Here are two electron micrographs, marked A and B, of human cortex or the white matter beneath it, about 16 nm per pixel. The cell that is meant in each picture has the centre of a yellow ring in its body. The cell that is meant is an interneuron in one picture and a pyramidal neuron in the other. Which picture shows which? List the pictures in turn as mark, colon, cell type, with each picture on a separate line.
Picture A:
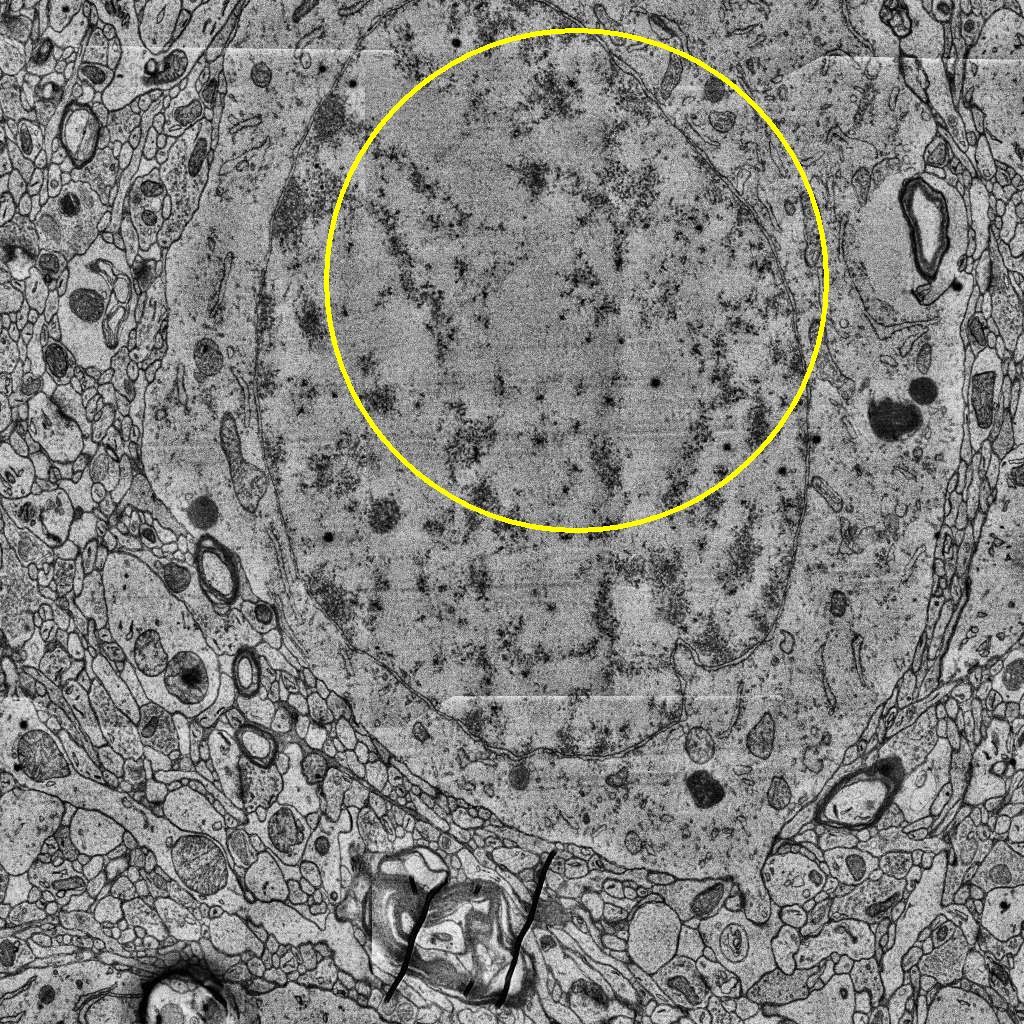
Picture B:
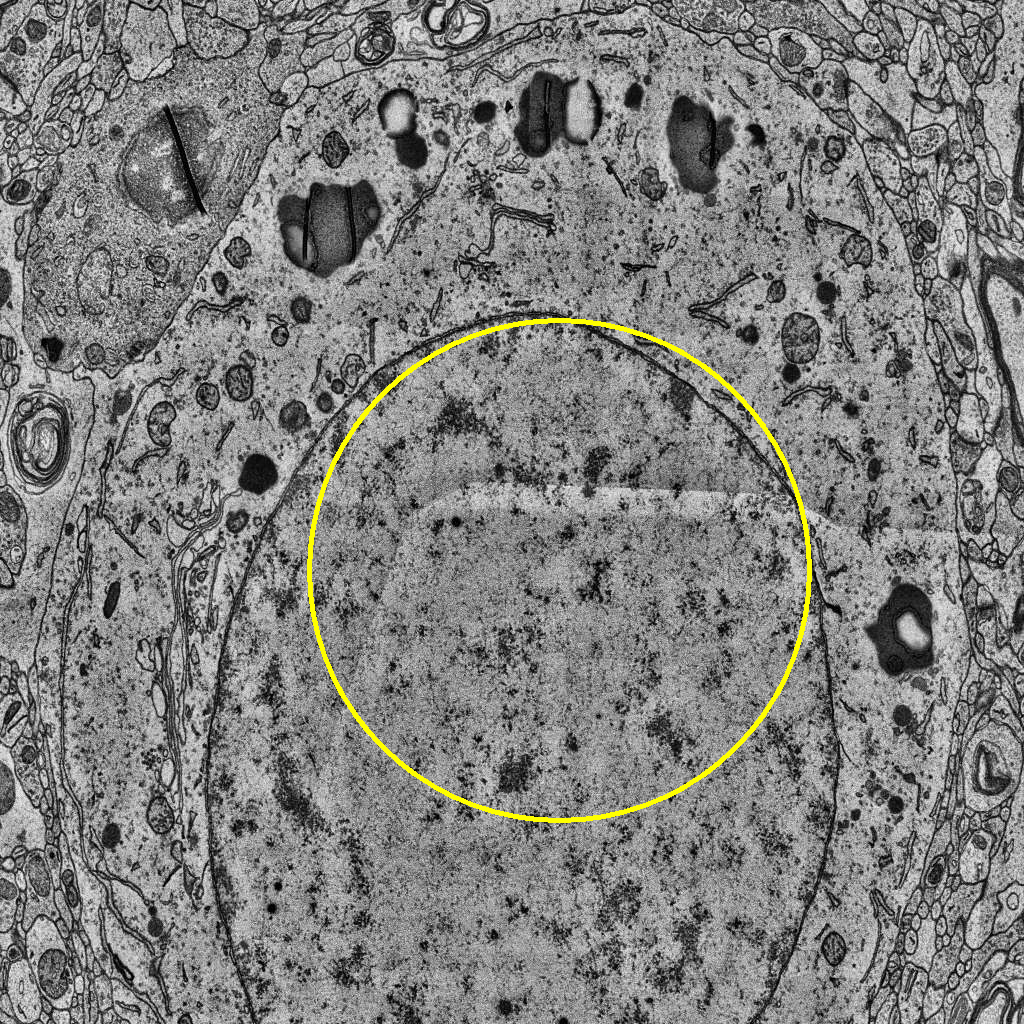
A: interneuron
B: pyramidal neuron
